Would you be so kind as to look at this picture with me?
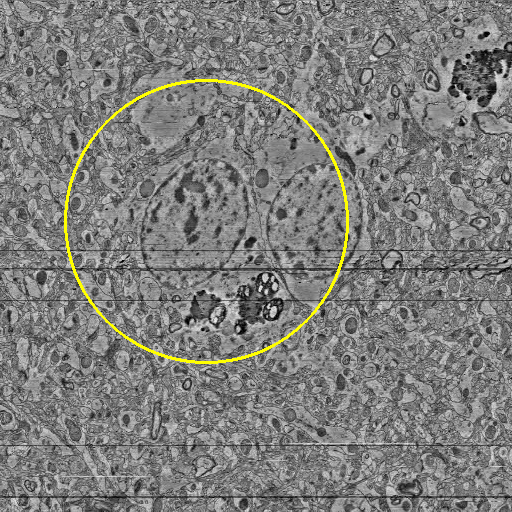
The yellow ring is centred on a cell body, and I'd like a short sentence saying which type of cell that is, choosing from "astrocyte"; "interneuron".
The cell body in the ring belongs to an astrocyte.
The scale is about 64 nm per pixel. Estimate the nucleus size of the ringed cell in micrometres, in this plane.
The nucleus has a long axis of about 9 micrometres and a short axis of about 6 micrometres in this plane.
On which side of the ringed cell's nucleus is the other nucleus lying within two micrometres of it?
The second nucleus is to the right of it.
